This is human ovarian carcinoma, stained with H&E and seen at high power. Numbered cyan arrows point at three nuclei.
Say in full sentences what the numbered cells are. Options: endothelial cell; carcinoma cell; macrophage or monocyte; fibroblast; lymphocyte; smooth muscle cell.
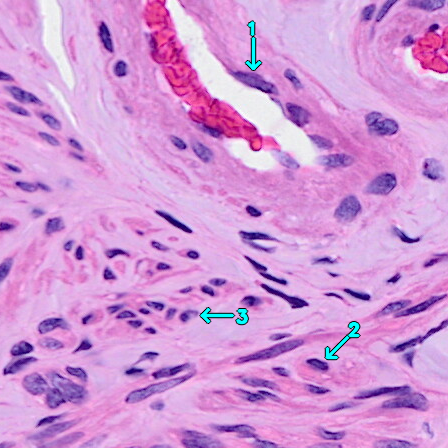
Cell 1 is an endothelial cell, cell 2 is a smooth muscle cell and cell 3 is a smooth muscle cell.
